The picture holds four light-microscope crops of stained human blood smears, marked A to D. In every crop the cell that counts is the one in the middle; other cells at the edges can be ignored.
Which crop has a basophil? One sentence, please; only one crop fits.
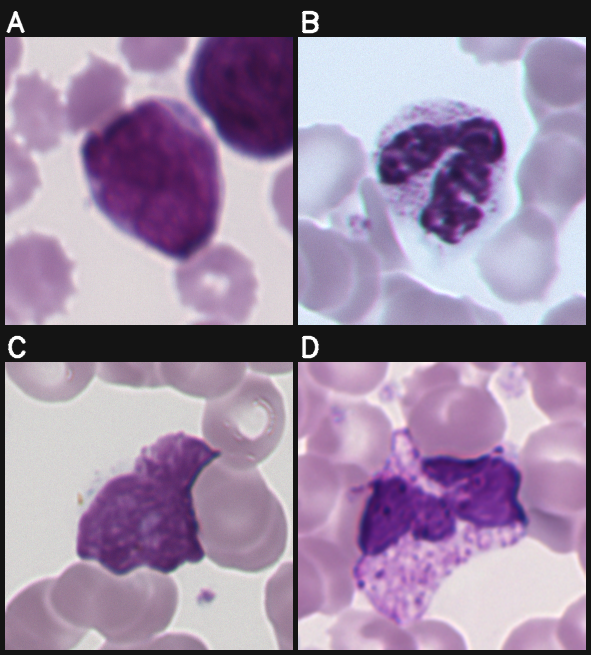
That would be crop D; it shows a basophil.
